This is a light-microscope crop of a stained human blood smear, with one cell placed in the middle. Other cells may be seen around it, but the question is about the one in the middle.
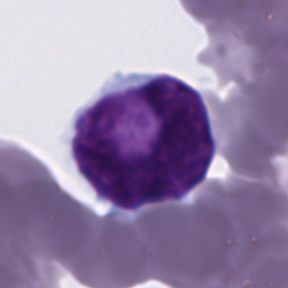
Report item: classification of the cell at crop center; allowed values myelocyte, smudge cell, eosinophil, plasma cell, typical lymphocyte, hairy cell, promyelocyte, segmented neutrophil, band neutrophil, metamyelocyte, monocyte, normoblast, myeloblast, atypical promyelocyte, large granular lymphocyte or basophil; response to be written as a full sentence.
Answering briefly, the cell in the middle is a hairy cell.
